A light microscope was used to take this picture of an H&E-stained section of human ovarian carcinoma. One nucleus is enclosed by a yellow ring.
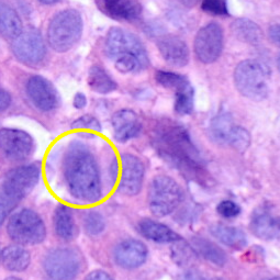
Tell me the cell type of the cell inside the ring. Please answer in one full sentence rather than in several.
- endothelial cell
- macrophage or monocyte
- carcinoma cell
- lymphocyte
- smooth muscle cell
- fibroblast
It is as a carcinoma cell that the cell inside the ring is classified.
